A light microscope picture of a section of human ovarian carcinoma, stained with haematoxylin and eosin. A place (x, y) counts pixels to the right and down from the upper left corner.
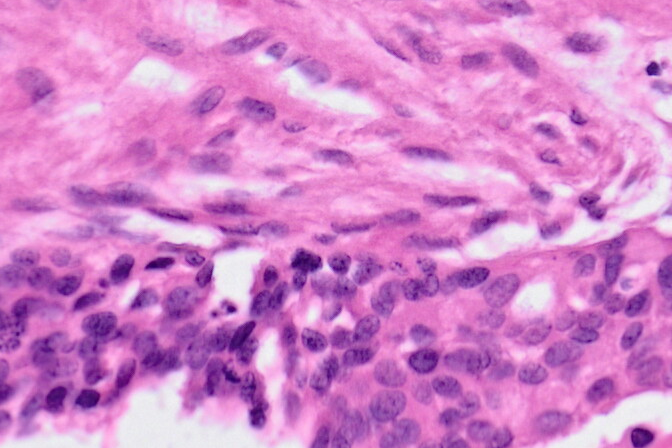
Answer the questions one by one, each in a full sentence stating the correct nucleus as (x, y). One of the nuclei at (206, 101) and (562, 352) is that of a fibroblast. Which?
The nucleus of a fibroblast is the one found at (206, 101), not the other.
